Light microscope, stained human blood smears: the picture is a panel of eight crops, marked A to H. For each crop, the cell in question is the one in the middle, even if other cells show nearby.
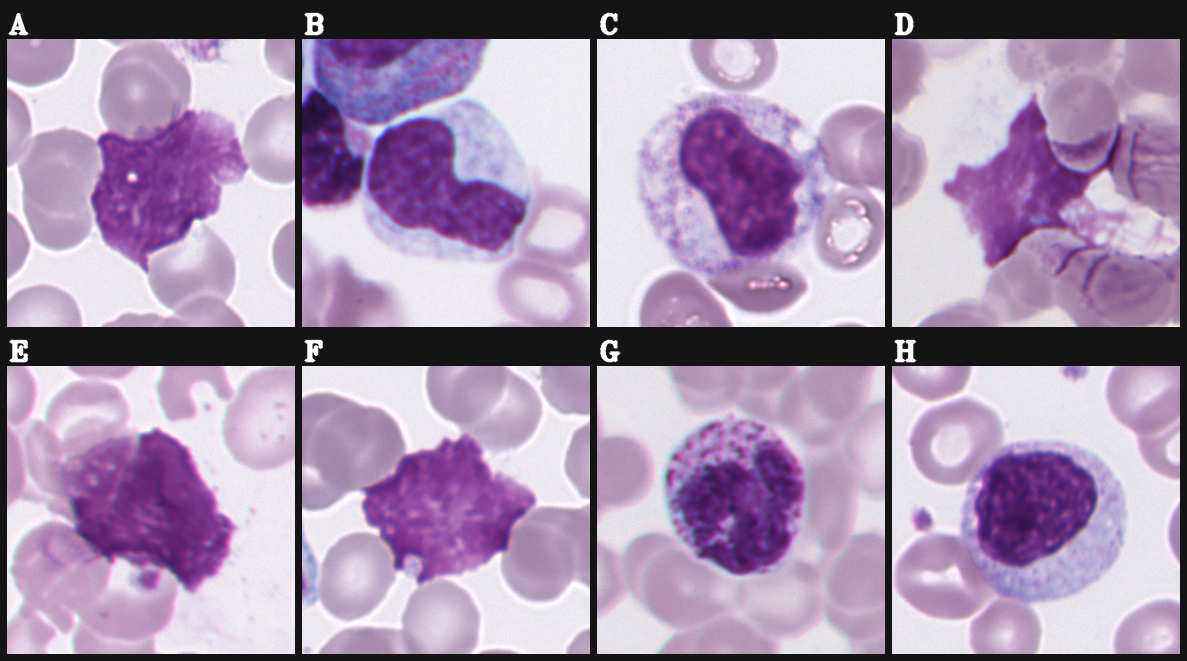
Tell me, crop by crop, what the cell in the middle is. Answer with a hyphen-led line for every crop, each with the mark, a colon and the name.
- A: smudge cell
- B: monocyte
- C: metamyelocyte
- D: smudge cell
- E: smudge cell
- F: smudge cell
- G: basophil
- H: metamyelocyte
